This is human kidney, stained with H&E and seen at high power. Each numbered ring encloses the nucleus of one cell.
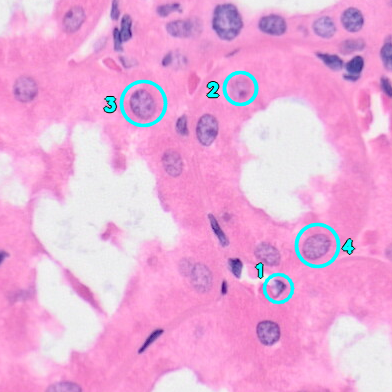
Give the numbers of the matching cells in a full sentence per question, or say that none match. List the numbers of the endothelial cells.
Across all the numbered cells, only number 1 is an endothelial cell.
